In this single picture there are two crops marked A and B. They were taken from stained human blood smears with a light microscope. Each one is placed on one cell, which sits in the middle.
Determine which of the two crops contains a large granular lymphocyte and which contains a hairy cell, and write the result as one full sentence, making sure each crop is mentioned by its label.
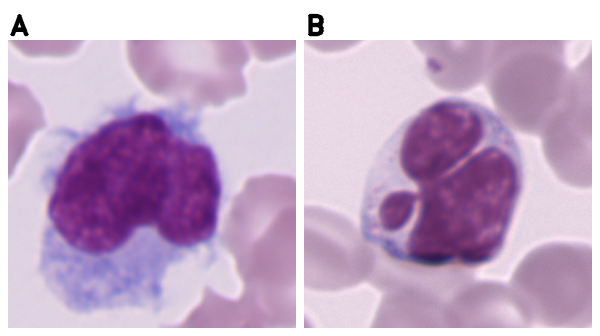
The cell that crop A centres on is a hairy cell, and the cell that crop B centres on is a large granular lymphocyte.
